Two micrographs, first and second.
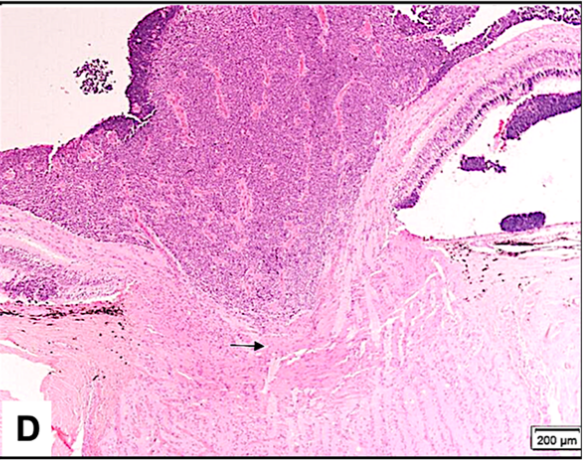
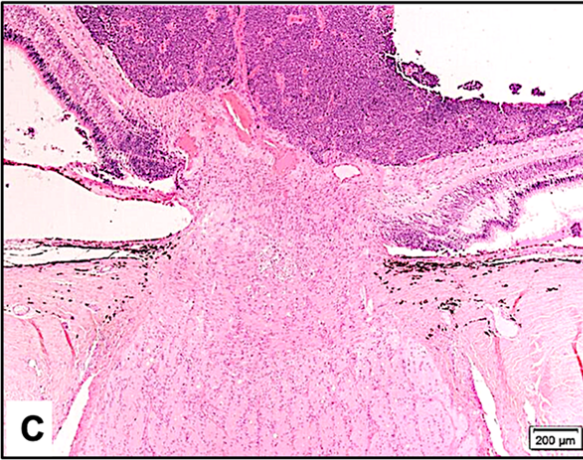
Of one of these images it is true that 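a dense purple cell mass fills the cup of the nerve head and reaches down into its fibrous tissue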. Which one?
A: the first image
